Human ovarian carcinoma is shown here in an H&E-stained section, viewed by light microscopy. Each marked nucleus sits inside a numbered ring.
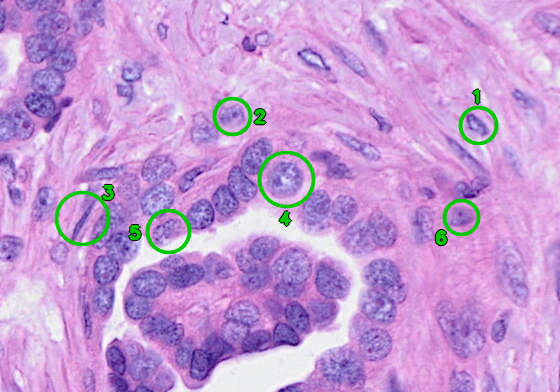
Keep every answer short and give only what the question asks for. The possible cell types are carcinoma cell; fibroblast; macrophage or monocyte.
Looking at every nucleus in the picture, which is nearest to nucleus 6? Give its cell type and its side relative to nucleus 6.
a macrophage or monocyte above nucleus 6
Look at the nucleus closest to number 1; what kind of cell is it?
fibroblast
